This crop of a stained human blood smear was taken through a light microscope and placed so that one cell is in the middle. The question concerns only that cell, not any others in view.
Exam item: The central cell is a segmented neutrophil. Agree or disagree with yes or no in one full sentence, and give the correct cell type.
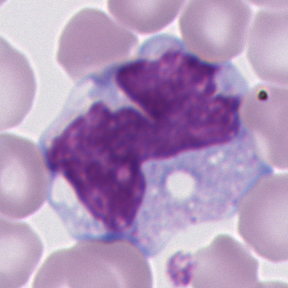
No, in the middle of the crop there is a monocyte rather than a segmented neutrophil.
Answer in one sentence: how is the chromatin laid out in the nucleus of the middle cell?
The chromatin is fine throughout, without coarse clumps.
